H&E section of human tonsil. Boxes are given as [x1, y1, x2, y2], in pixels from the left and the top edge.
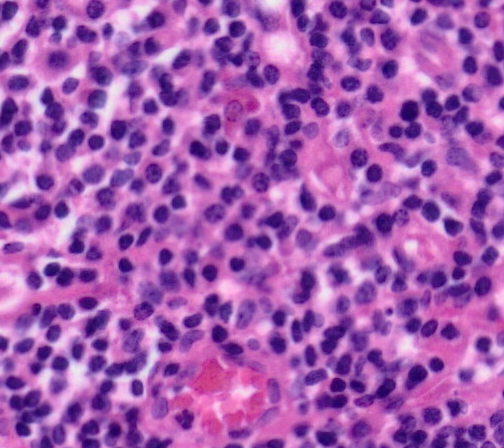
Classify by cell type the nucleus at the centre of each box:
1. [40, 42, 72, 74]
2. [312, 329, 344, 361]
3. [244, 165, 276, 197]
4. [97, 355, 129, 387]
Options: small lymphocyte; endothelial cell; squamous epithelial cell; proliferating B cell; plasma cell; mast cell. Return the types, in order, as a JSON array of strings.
["plasma cell", "small lymphocyte", "plasma cell", "small lymphocyte"]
